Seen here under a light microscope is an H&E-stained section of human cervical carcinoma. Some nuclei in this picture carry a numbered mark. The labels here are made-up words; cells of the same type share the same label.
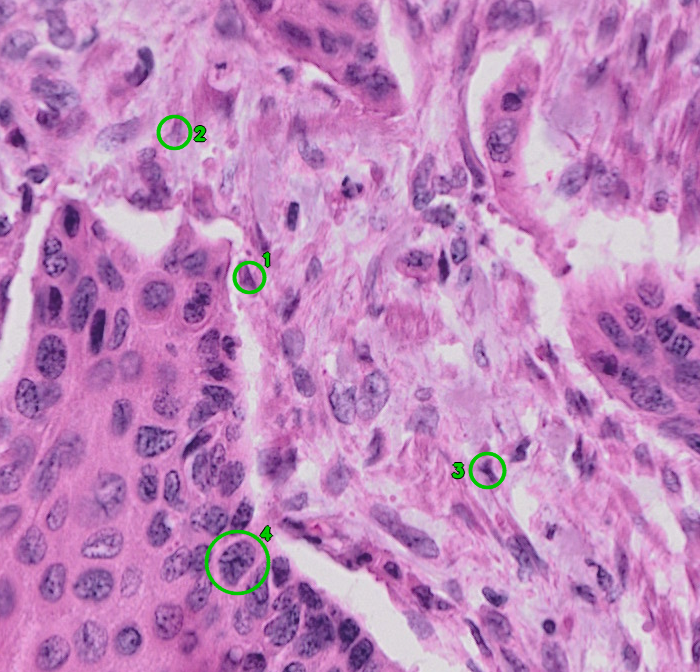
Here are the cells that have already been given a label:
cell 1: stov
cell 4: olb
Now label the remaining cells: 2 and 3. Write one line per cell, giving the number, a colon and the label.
2: stov
3: stov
